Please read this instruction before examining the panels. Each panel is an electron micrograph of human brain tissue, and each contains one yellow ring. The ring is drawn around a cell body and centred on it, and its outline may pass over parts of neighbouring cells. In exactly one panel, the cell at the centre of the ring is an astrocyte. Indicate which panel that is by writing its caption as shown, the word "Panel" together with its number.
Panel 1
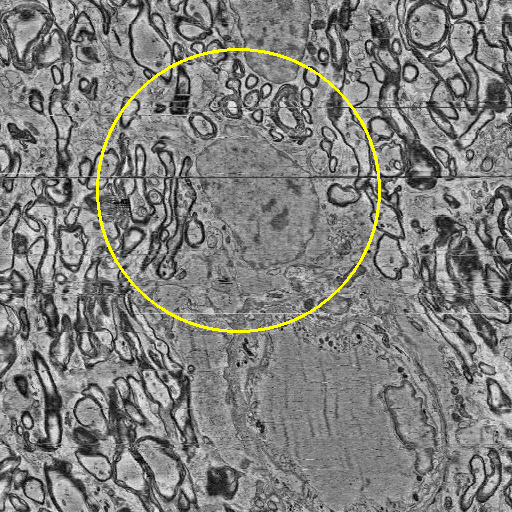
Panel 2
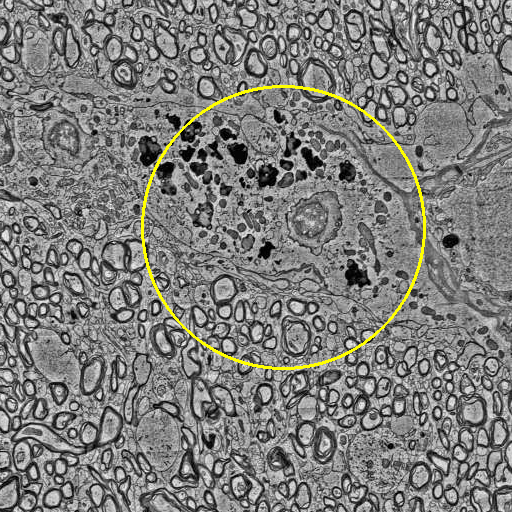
Panel 1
